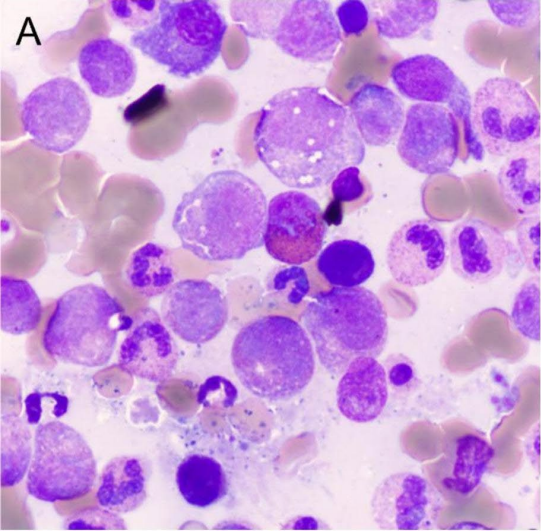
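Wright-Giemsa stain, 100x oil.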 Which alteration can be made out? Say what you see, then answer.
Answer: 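Vacuolization. The holes are sharply bounded and unstained.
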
